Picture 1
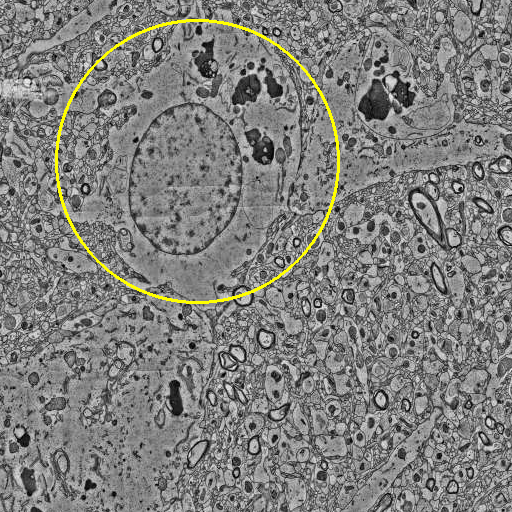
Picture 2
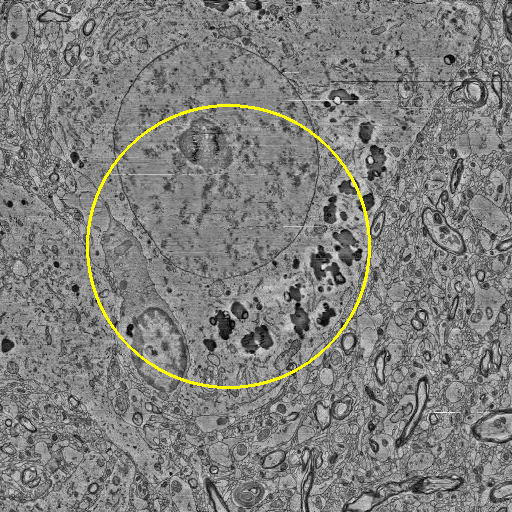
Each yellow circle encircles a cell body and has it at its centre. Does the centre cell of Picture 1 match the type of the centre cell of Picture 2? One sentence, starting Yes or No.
No, the cell centred in Picture 1 and the one in Picture 2 have separate types.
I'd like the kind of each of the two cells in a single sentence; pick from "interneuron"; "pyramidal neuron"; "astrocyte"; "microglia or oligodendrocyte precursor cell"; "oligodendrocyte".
The first ring marks an astrocyte, and the second ring marks a pyramidal neuron.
